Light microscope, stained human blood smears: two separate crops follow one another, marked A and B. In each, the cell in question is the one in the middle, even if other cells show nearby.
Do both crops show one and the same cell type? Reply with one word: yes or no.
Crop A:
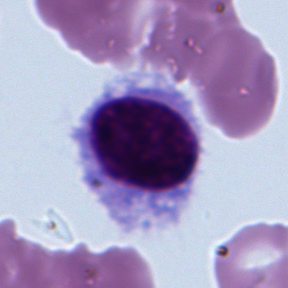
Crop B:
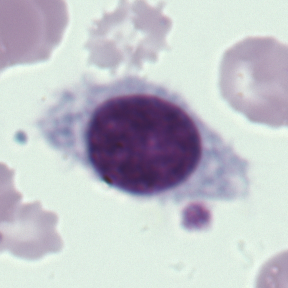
yes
